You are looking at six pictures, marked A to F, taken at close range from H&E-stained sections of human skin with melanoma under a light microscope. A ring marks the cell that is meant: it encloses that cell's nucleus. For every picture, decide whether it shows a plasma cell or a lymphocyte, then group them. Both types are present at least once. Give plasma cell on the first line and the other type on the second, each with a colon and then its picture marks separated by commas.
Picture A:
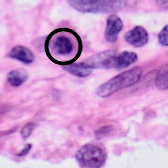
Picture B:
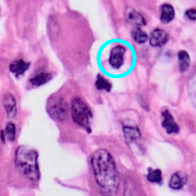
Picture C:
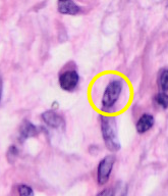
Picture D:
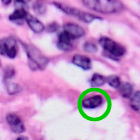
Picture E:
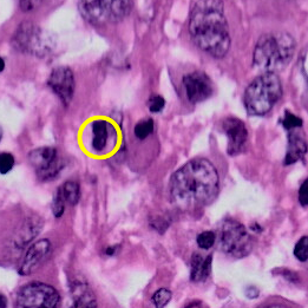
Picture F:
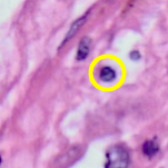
plasma cell: A, C
lymphocyte: B, D, E, F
